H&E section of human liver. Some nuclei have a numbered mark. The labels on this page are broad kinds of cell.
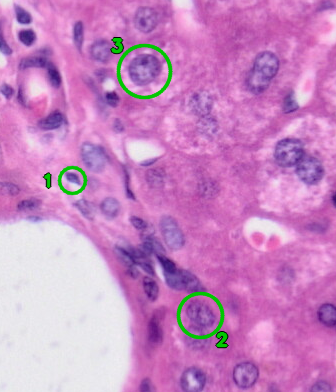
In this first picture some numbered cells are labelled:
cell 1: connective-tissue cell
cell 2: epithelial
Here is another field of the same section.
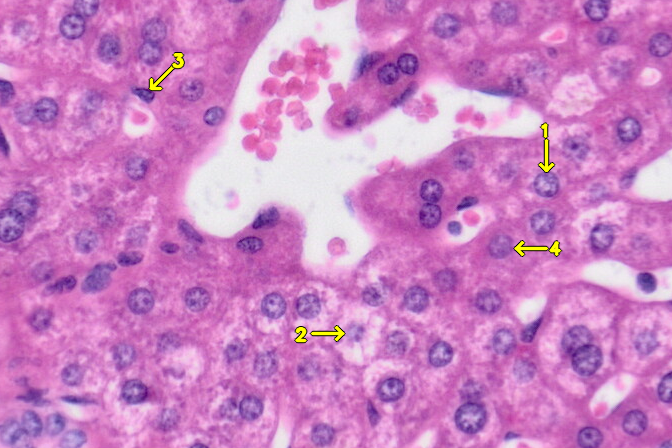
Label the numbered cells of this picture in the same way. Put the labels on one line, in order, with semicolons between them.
epithelial; epithelial; connective-tissue cell; epithelial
